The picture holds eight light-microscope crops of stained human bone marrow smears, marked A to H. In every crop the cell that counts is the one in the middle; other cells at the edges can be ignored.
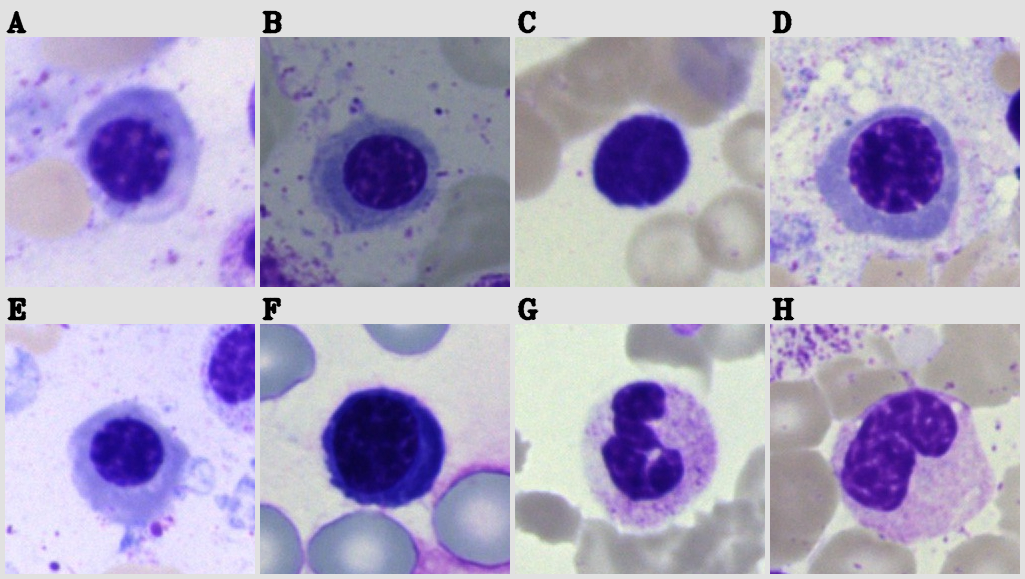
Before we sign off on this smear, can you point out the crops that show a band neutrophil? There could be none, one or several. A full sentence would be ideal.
None of these crops has a band neutrophil at its center.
